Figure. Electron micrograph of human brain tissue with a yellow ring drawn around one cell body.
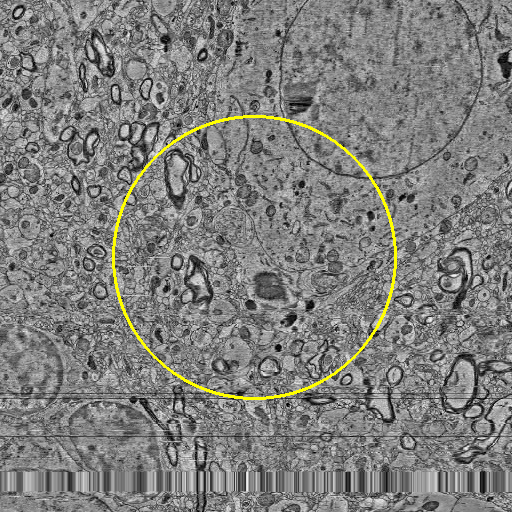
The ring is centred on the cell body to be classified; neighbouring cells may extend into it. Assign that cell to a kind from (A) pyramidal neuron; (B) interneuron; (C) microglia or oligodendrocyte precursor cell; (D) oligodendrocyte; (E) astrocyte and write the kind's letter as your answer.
C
